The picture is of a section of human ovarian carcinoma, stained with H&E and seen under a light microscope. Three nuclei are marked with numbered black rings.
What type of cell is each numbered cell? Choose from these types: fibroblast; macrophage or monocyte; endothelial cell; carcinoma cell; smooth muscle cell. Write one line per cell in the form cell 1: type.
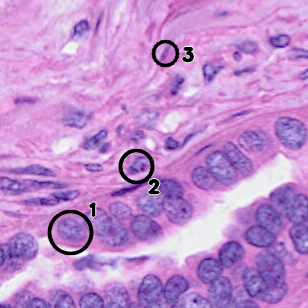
cell 1: carcinoma cell
cell 2: fibroblast
cell 3: fibroblast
